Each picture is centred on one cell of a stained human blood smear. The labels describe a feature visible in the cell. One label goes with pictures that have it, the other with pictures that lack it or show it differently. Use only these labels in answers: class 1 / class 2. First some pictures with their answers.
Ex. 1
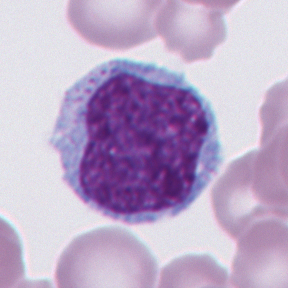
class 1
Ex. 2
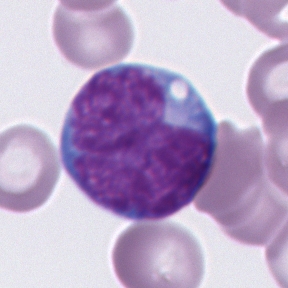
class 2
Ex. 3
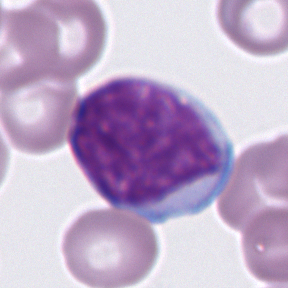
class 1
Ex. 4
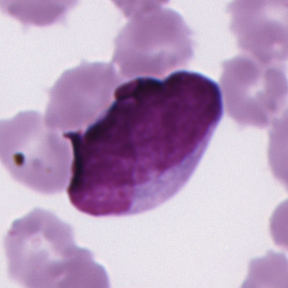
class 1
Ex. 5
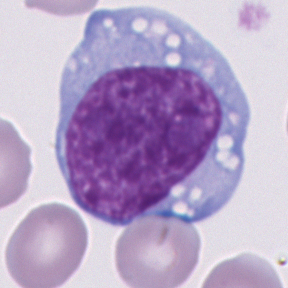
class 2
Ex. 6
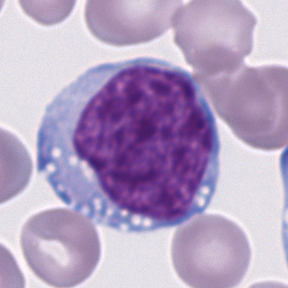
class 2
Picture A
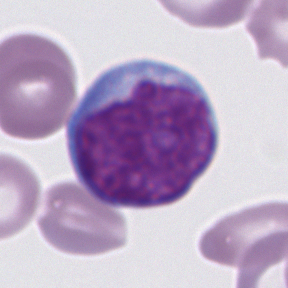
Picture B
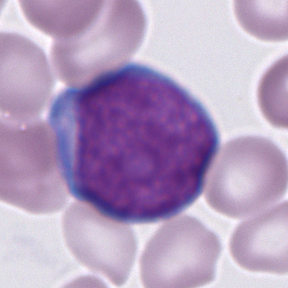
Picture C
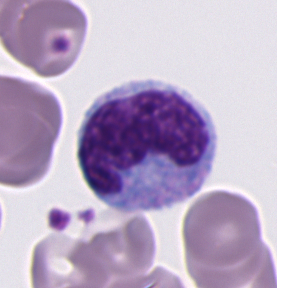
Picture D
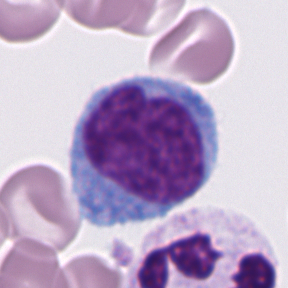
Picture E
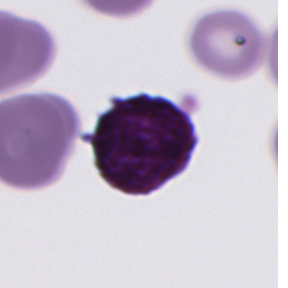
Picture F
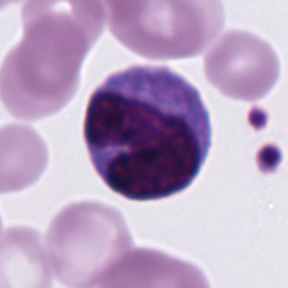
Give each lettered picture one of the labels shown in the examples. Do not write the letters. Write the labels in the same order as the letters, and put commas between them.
class 1, class 1, class 1, class 1, class 1, class 1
